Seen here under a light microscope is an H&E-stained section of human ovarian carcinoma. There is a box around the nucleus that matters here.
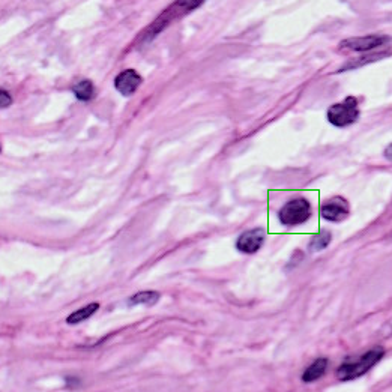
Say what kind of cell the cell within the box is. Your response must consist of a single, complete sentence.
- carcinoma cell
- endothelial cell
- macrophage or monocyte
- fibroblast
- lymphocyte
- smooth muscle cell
In the stained section, the cell within the box is a lymphocyte.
